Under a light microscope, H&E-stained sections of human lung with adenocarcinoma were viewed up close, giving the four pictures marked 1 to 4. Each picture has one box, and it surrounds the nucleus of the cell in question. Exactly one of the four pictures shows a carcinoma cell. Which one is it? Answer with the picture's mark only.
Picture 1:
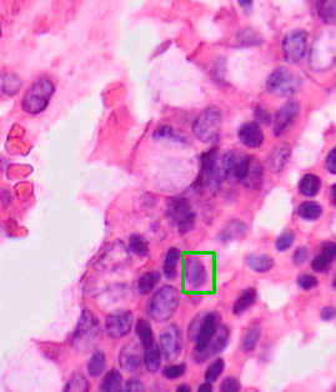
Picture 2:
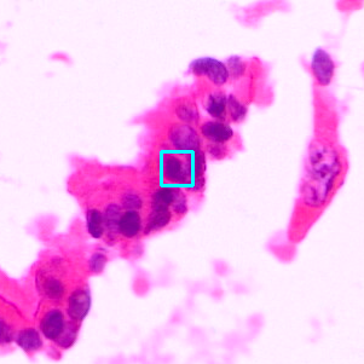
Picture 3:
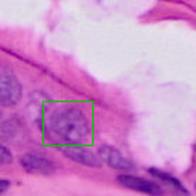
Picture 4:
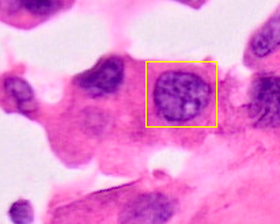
4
